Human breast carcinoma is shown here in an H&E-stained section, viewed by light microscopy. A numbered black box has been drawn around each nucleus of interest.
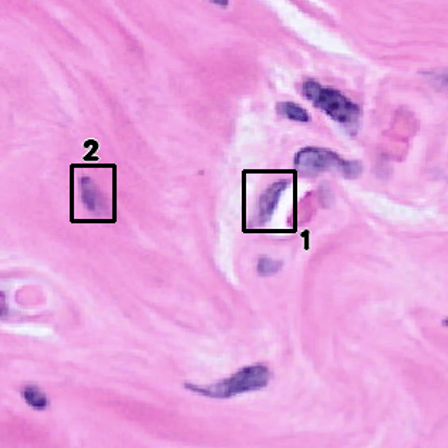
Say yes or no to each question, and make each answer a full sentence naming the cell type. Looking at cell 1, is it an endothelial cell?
Yes, cell 1 among the marked cells is an endothelial cell.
